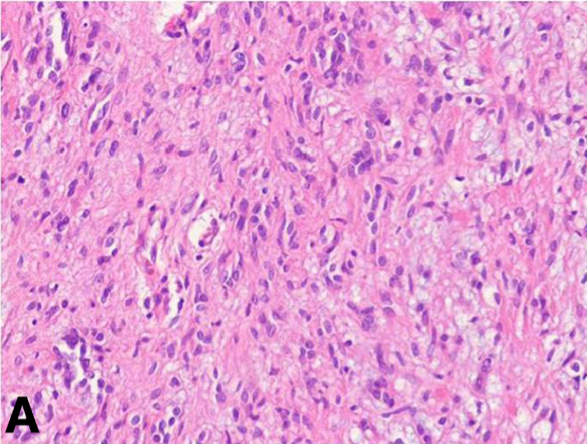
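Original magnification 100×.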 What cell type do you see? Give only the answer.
Spindle cells.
